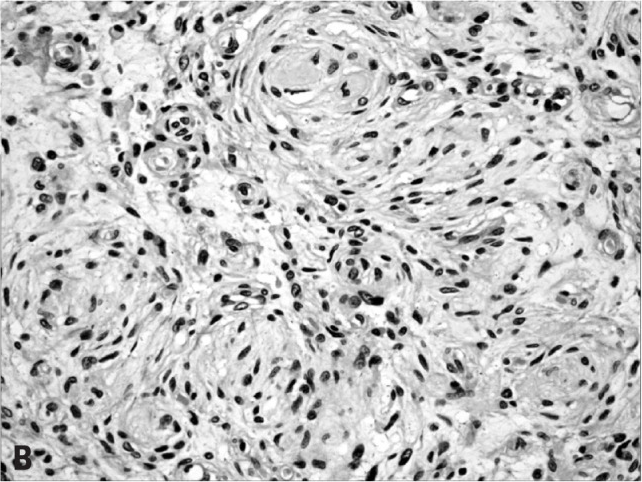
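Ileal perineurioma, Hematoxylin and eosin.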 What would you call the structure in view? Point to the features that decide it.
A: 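Whorls. Spindle cells are arranged concentrically in rounded swirls. Small round lumina sit at the centre of several swirls.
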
